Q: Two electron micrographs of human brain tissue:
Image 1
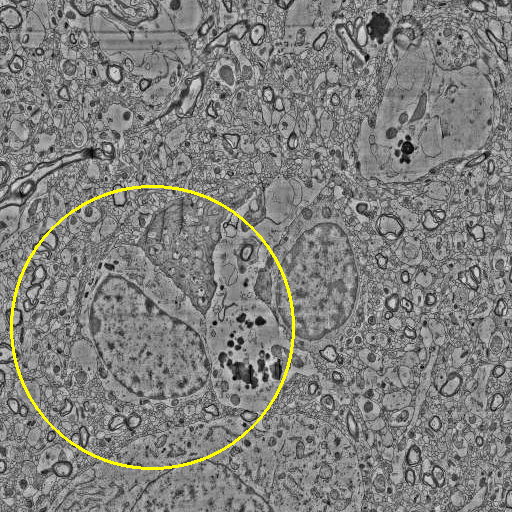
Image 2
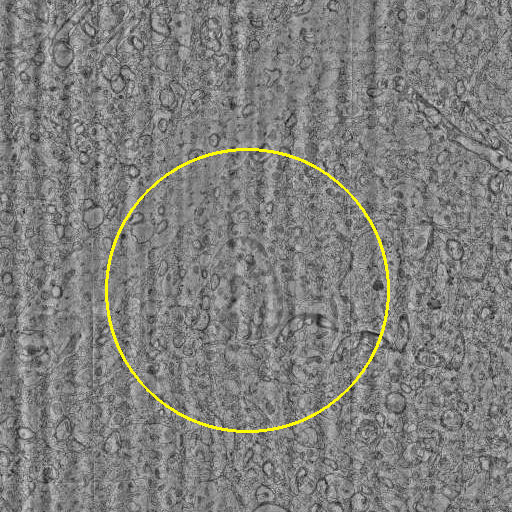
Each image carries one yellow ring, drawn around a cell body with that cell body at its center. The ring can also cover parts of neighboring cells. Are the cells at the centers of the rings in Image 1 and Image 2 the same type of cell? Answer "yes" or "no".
yes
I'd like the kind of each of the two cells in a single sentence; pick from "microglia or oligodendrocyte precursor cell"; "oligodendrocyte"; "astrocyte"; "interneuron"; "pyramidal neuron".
Both rings mark a microglial cell or oligodendrocyte precursor cell, one in each picture.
